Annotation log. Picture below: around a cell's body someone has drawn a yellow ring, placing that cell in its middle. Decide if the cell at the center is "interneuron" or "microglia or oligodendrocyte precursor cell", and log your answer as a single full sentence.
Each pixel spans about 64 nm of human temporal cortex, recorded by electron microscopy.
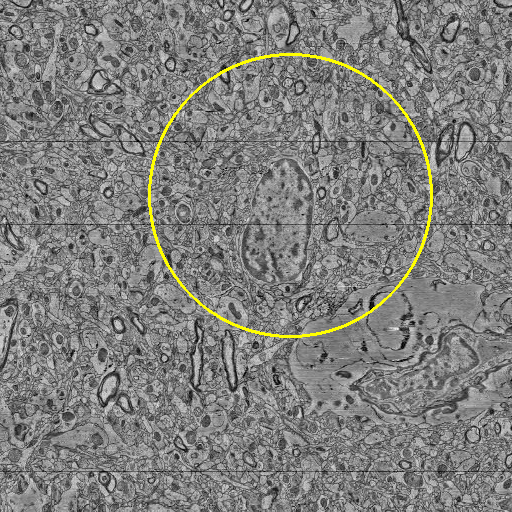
My entry records a microglial cell or oligodendrocyte precursor cell as the cell sitting at the center of the yellow ring.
